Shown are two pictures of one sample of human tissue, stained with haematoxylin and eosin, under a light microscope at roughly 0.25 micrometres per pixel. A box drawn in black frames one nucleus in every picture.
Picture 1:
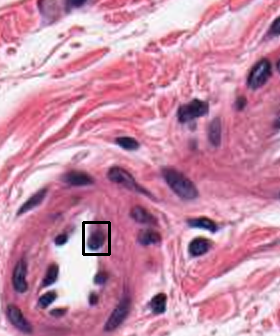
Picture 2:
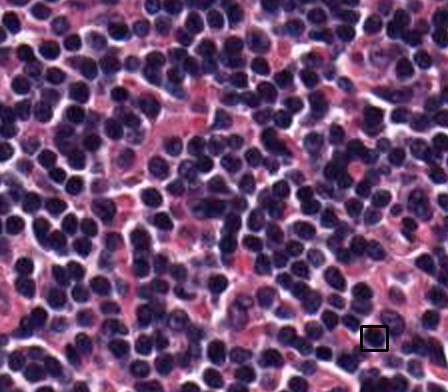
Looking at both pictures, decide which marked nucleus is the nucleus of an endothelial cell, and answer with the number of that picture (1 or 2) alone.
1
